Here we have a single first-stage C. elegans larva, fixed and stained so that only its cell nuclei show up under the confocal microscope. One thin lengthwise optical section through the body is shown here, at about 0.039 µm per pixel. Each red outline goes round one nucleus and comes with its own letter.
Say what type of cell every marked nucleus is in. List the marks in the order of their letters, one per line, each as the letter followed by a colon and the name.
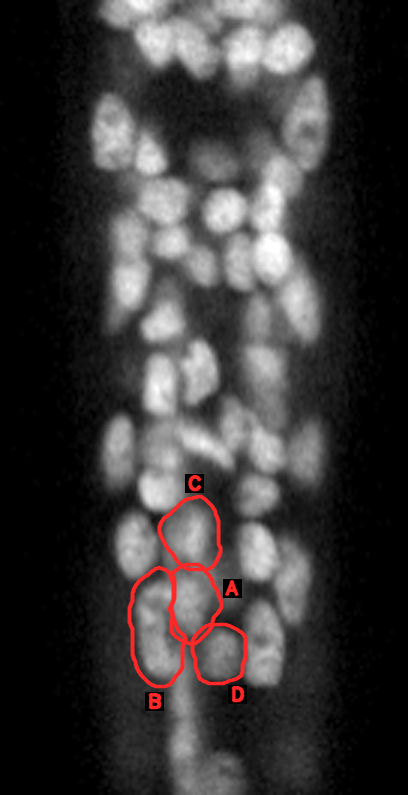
A: arcade cell
B: body wall muscle cell
C: glial cell (sheath or socket)
D: arcade cell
